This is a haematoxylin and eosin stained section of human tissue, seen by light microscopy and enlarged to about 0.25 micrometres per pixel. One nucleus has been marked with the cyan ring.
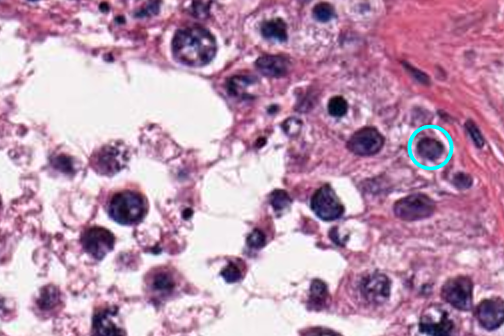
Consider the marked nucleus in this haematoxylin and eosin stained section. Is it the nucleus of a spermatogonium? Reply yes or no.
yes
